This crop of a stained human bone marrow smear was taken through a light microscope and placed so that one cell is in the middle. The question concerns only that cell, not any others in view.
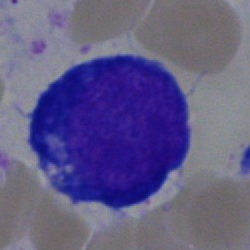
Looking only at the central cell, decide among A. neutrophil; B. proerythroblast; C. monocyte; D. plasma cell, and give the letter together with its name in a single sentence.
The centered cell is a proerythroblast, which is why option B is right.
